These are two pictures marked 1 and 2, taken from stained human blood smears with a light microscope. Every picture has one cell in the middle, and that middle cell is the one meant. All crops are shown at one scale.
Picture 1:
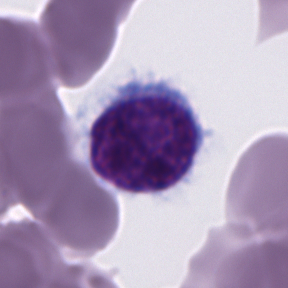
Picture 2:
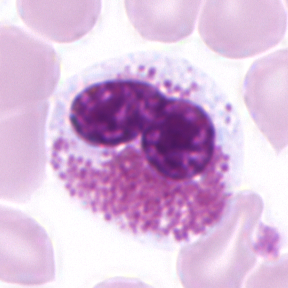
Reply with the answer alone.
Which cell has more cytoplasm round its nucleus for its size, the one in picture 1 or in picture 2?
2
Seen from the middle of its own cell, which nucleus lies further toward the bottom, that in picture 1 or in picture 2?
1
